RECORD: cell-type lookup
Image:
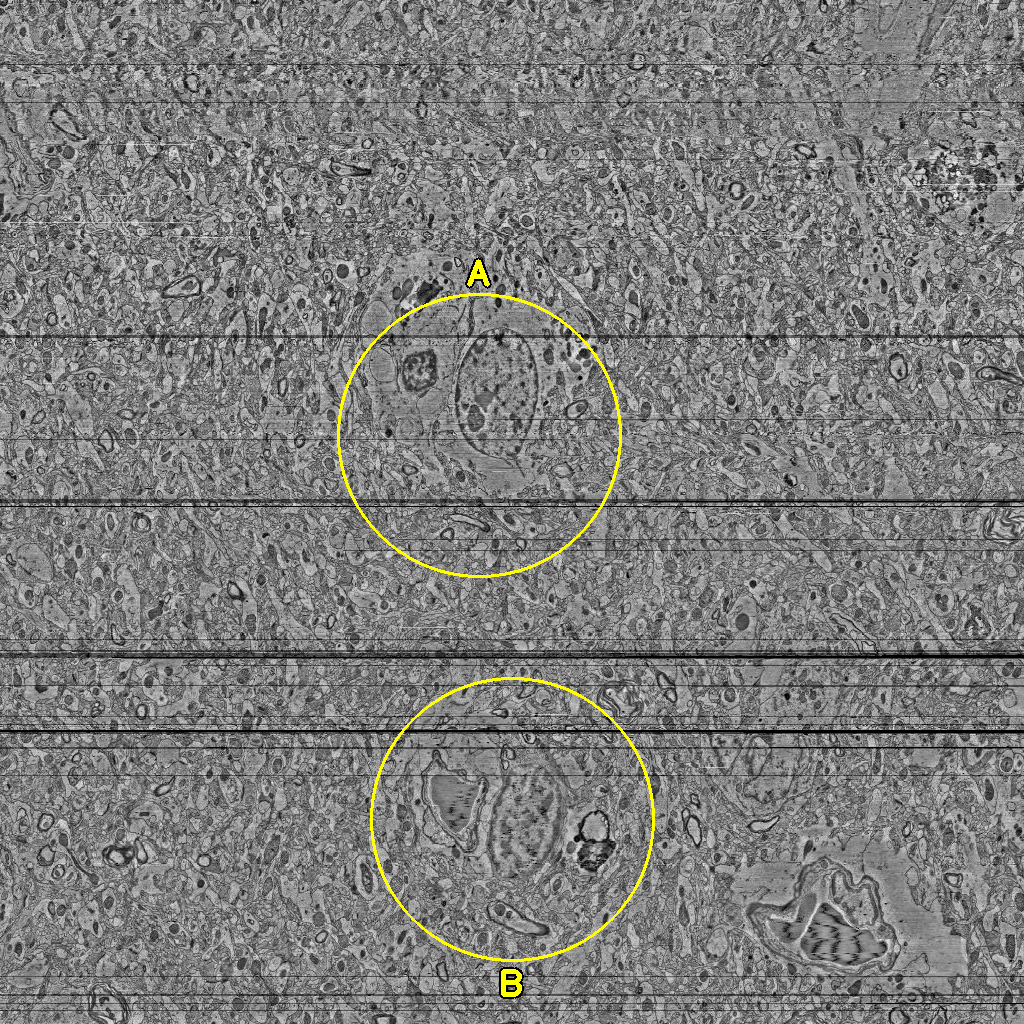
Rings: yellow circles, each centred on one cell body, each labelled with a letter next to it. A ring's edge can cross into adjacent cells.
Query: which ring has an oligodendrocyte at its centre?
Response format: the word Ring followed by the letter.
Ring B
